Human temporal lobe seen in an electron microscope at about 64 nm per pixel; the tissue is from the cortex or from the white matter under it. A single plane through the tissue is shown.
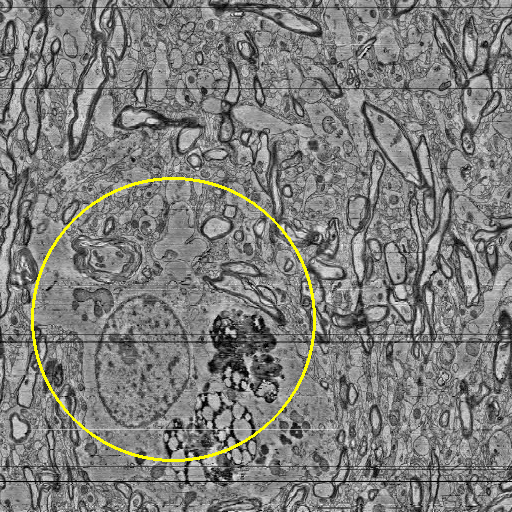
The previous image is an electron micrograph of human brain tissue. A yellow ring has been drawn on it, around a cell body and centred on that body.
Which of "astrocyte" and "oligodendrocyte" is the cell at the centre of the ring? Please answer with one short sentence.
The cell body at the centre of the ring belongs to an astrocyte.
